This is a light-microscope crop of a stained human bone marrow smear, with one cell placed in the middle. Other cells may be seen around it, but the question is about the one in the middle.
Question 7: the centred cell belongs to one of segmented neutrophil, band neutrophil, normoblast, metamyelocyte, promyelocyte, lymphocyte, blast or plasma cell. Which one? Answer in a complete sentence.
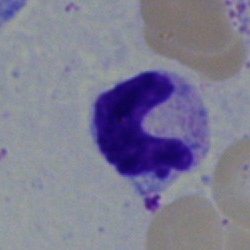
In the center of this field lies a band neutrophil.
